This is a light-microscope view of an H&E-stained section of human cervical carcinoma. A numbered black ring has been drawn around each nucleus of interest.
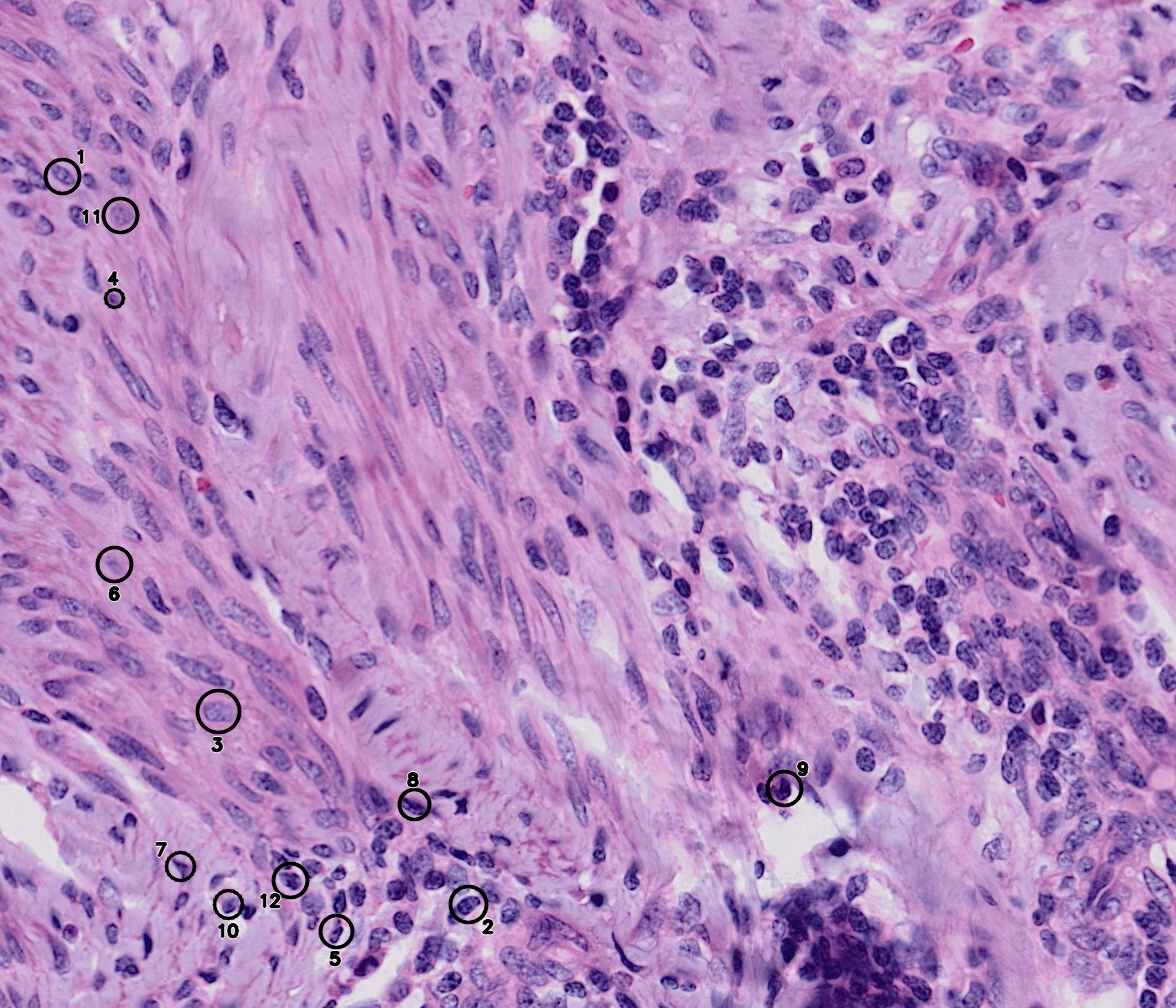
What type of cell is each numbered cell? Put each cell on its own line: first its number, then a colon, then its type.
1: smooth muscle cell
2: lymphocyte
3: smooth muscle cell
4: smooth muscle cell
5: lymphocyte
6: smooth muscle cell
7: smooth muscle cell
8: lymphocyte
9: lymphocyte
10: lymphocyte
11: smooth muscle cell
12: lymphocyte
